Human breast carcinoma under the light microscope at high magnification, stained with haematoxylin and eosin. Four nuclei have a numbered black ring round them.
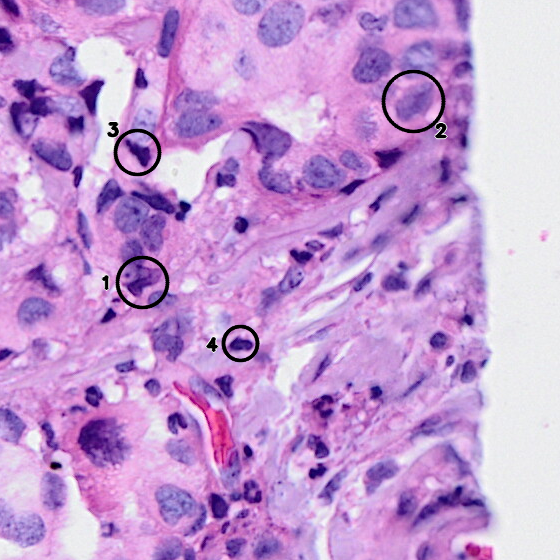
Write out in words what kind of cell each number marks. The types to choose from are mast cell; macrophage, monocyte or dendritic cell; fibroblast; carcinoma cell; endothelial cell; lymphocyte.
Cells 1, 2 and 3 are carcinoma cells. Cell 4 is a lymphocyte.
